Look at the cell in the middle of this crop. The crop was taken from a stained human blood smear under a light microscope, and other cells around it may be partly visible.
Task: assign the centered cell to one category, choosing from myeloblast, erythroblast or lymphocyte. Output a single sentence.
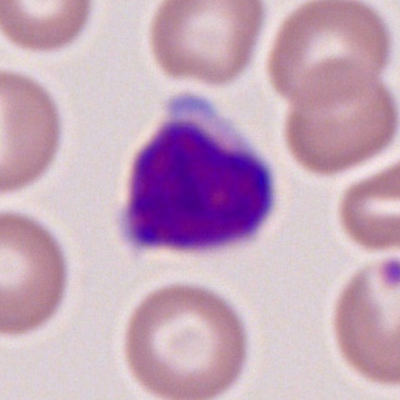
The middle position in this crop is taken by a lymphocyte.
